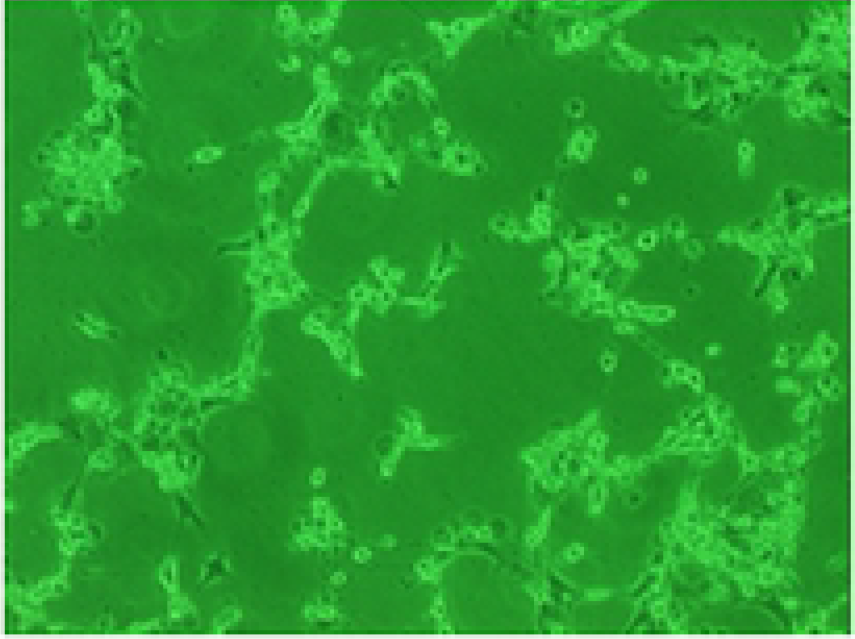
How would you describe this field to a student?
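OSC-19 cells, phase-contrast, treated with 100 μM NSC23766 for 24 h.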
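Cultured cells here no longer form a flat sheet: most are small, rounded and bright-rimmed, gathered in loose clumps and branching strands with wide empty stretches of dish between them. Few spread, flattened cells remain.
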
